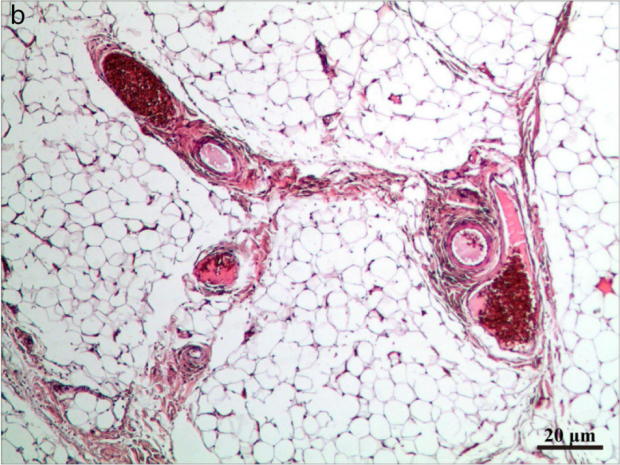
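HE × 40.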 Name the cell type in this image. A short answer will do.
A: Mature adipocytes.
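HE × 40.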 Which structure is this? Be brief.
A: small vessels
